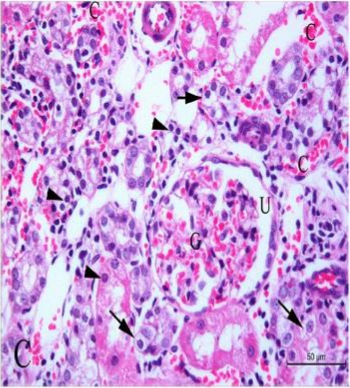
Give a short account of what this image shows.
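The cortex looks disorganised. Tubule cells have pale, cleared cytoplasm, and many nuclei are small, dark and condensed. Tubule lumina lack a fuzzy border. Red blood cells crowd vessels and spaces between tubules, and many small dark round nuclei are scattered through the interstitium. These are degenerative changes: atrophied glomerulus with wide urinary space, hydropic degeneration and vacuolation of tubular epithelium, nuclear pyknosis, loss of brush borders, congestion and lymphocytic infiltration.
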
